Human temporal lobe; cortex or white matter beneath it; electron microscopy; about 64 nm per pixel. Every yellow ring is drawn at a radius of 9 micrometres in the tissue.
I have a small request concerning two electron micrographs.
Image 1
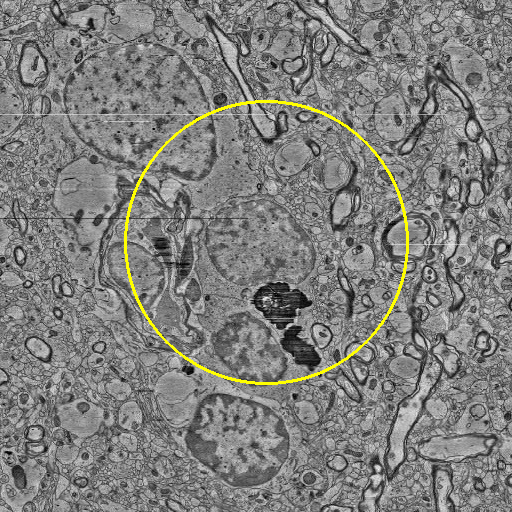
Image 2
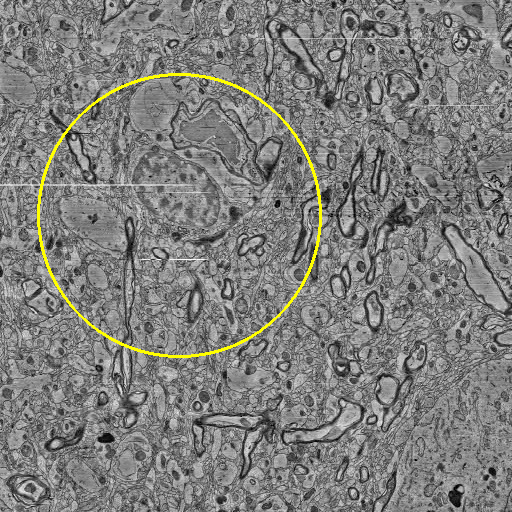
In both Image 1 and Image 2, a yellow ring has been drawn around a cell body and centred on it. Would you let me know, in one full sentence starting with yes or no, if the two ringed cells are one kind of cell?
Yes, the cells ringed in Image 1 and Image 2 are one kind of cell.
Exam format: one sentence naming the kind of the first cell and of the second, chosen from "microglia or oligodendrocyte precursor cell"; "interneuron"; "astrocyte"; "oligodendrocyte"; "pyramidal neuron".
In each of the two pictures, the ringed cell is an oligodendrocyte.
